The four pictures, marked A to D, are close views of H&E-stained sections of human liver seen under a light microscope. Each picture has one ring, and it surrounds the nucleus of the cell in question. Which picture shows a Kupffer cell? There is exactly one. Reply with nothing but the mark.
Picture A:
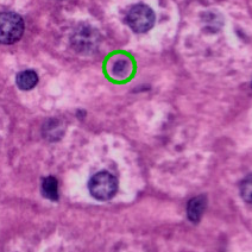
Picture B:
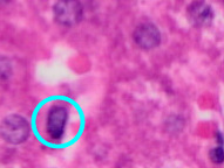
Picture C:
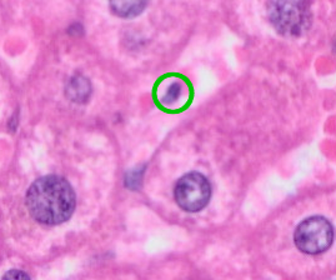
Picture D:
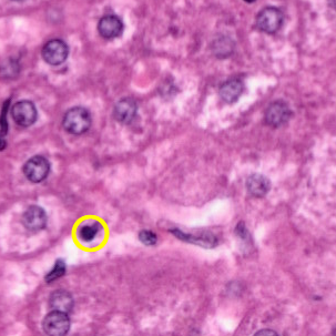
B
